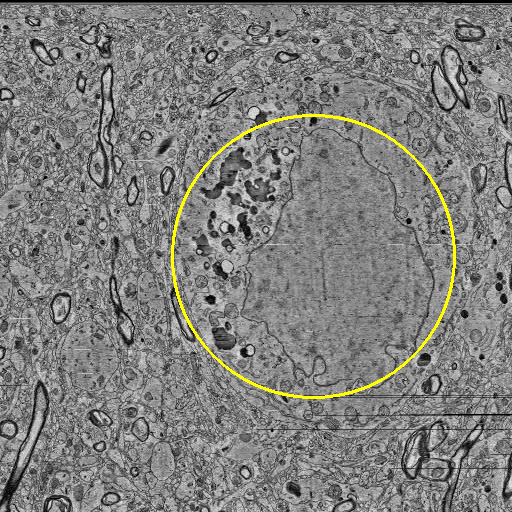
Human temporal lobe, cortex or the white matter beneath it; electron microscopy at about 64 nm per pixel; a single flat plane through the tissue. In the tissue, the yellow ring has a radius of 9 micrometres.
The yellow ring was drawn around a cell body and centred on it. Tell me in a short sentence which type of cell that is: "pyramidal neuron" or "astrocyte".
The cell at the ring's centre is a pyramidal neuron.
